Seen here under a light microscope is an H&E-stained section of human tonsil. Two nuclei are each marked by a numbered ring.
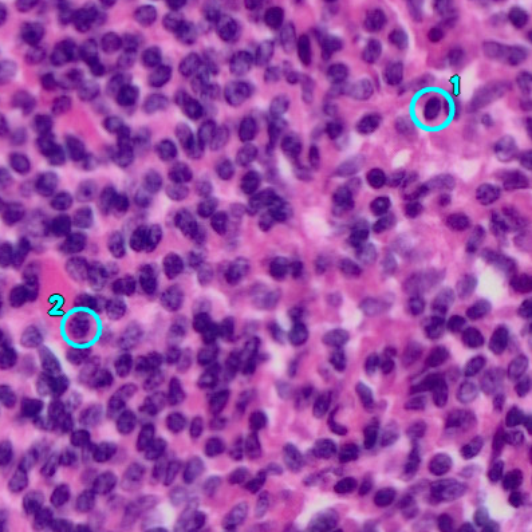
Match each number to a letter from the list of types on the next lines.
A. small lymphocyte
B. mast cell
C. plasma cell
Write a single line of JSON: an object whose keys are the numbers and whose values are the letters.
{"1": "C", "2": "A"}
